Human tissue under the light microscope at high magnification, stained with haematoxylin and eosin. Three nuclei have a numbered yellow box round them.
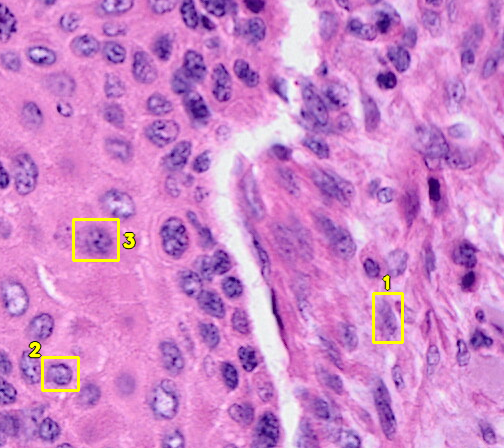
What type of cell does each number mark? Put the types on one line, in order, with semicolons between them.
fibroblast; squamous carcinoma cell; squamous carcinoma cell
